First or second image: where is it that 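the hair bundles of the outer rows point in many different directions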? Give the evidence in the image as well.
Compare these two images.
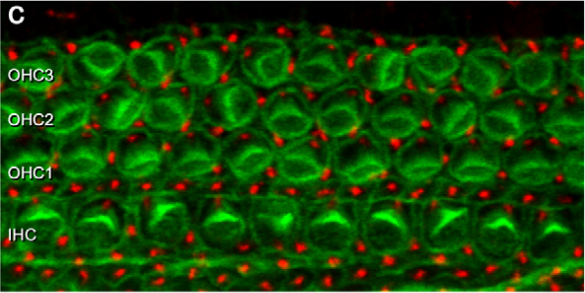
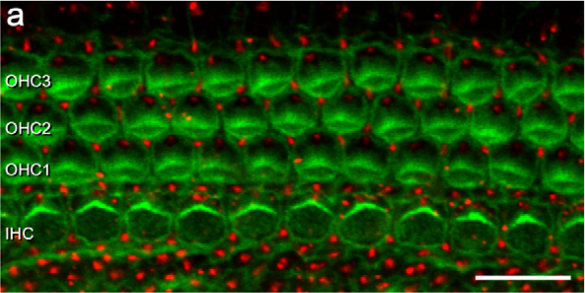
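First image: in the upper rows the green V-shaped bundles are tilted and rotated in varied directions, and some in the lowest row are turned too. Second image: the green V-shaped bundles in all rows open uniformly toward the same side.
Conclusion: the first image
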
